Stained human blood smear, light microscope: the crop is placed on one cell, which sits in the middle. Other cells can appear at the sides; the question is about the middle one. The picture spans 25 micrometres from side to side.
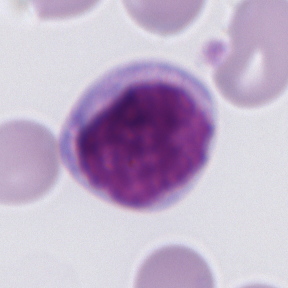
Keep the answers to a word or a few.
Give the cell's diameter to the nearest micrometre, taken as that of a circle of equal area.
13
